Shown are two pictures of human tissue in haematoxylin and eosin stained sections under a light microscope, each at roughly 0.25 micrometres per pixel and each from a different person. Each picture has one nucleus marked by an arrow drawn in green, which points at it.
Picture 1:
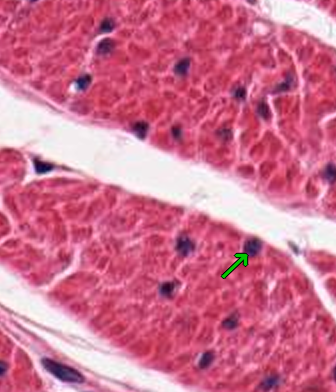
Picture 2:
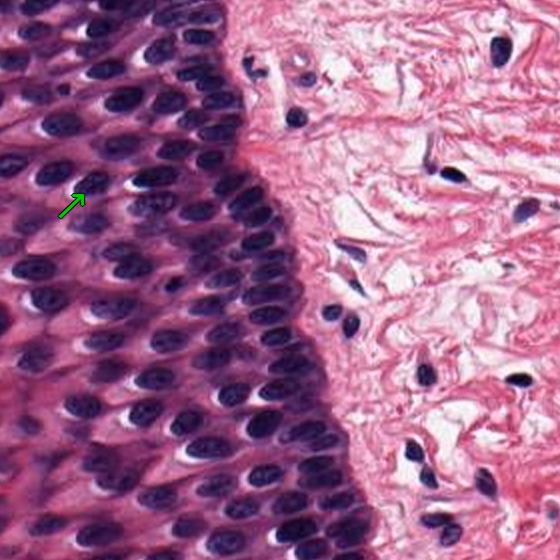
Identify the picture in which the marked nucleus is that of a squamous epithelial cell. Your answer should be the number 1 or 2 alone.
2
